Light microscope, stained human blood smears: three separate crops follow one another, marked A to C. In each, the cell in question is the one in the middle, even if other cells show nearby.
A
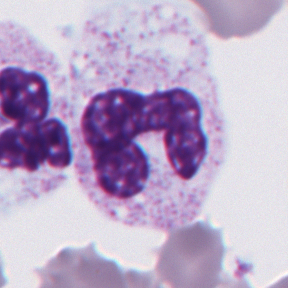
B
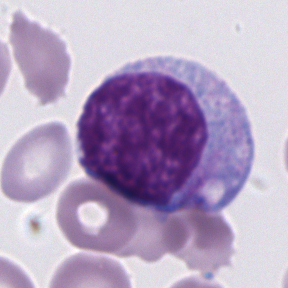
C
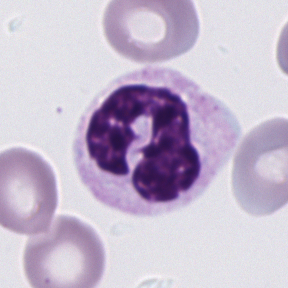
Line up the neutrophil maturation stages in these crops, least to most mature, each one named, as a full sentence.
In order from least mature to most mature, the crops stand crop B (a myelocyte), crop C (a band neutrophil) and crop A (a segmented neutrophil).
